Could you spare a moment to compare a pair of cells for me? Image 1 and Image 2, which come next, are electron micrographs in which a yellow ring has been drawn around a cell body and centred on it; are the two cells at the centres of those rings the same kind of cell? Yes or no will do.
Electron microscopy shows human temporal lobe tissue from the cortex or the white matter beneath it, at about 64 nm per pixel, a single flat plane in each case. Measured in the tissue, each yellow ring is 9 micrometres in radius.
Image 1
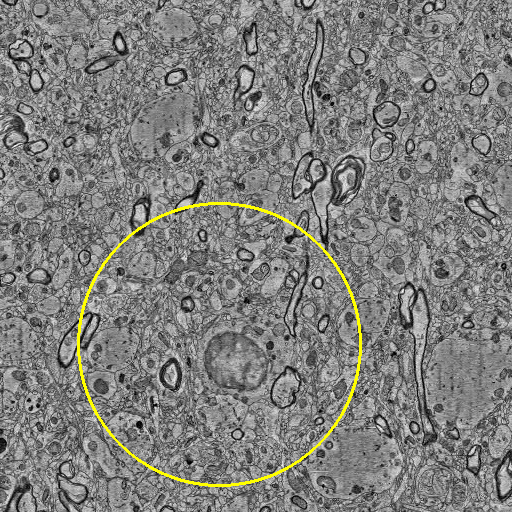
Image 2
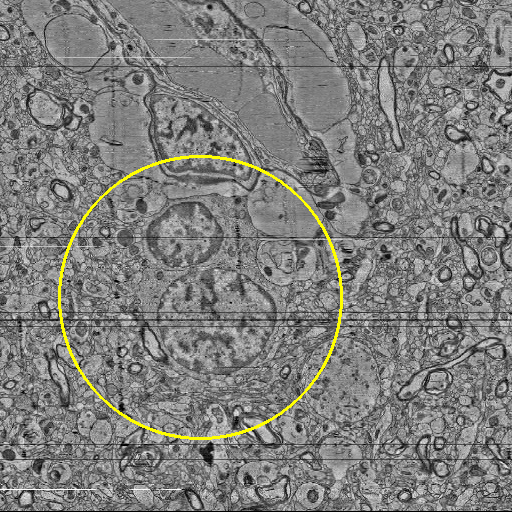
yes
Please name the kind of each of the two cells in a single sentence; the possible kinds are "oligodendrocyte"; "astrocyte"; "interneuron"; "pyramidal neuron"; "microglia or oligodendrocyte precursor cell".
The second cell is an oligodendrocyte, just as the first is.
